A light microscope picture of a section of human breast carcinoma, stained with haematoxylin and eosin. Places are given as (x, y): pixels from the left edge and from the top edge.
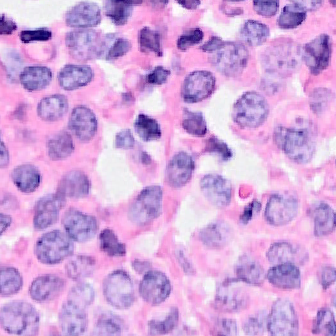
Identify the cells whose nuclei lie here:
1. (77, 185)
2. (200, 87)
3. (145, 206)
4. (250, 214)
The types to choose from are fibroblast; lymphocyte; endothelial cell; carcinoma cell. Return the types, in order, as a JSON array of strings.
["carcinoma cell", "carcinoma cell", "carcinoma cell", "endothelial cell"]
